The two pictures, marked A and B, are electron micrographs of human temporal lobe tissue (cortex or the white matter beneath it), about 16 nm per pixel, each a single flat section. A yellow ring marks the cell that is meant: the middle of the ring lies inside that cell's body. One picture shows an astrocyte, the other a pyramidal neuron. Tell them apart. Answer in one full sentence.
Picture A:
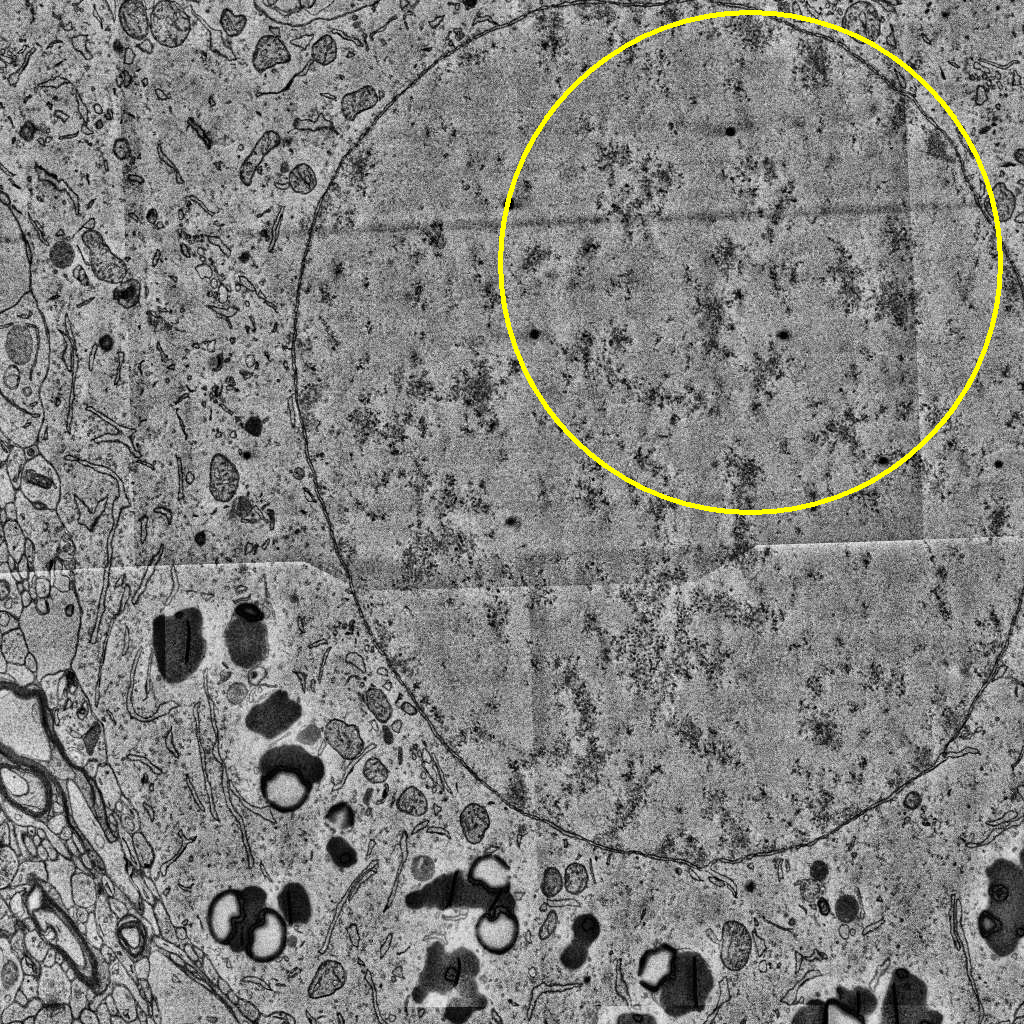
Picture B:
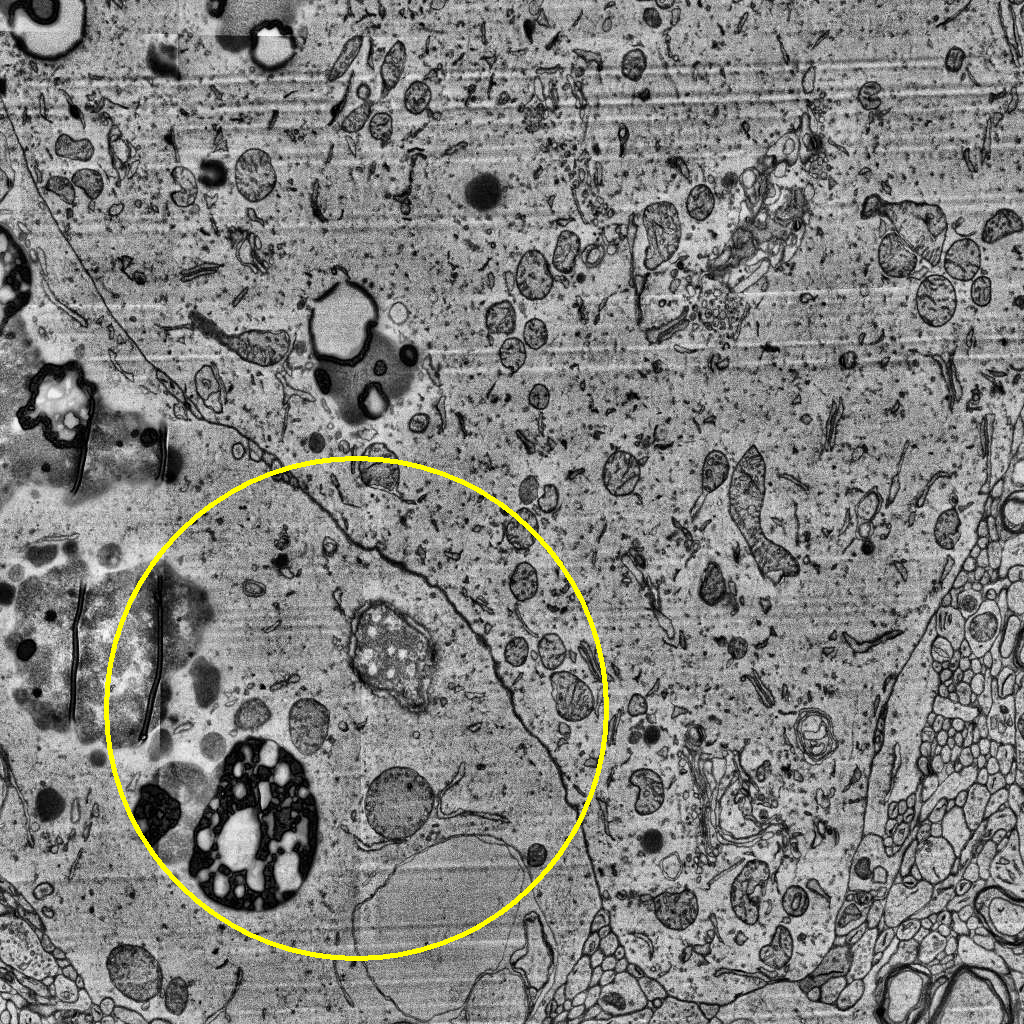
Picture A shows a pyramidal neuron and picture B shows an astrocyte.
